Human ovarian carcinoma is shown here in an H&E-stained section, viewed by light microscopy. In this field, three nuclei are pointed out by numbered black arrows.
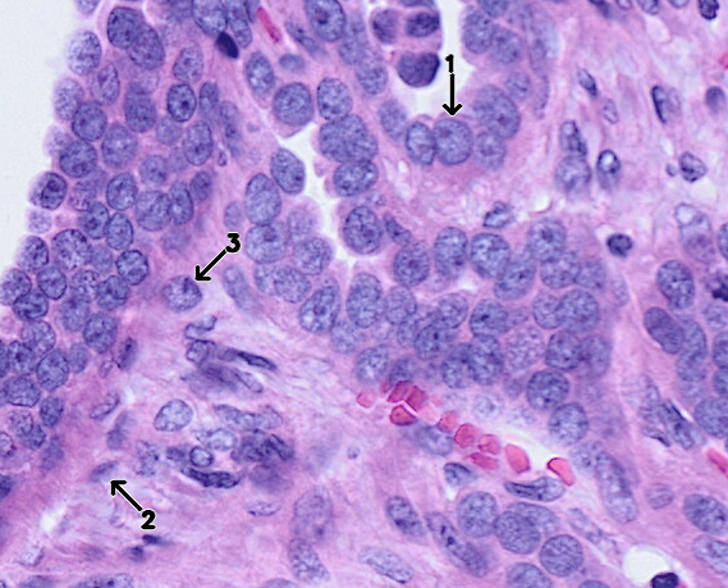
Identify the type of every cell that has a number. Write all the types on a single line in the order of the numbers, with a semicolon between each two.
carcinoma cell; fibroblast; fibroblast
